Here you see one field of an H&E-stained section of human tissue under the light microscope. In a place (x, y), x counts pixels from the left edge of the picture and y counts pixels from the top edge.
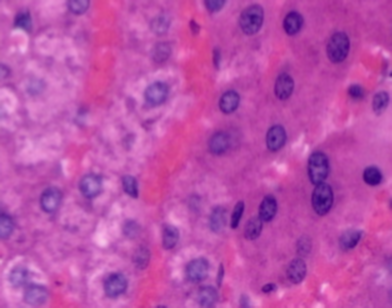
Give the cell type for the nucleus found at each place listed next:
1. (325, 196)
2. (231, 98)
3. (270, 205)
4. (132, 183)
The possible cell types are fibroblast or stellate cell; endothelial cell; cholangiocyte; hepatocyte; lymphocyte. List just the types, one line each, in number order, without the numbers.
hepatocyte
hepatocyte
hepatocyte
fibroblast or stellate cell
